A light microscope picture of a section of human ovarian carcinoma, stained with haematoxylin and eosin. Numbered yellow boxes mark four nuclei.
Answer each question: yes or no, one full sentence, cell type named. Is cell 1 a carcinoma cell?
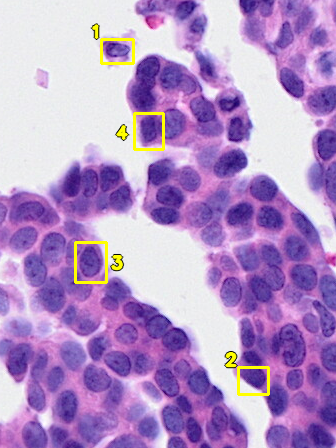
No, the cell given number 1 is a macrophage or monocyte, not a carcinoma cell.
